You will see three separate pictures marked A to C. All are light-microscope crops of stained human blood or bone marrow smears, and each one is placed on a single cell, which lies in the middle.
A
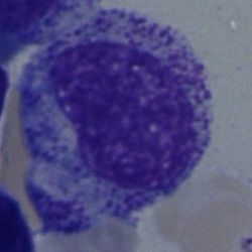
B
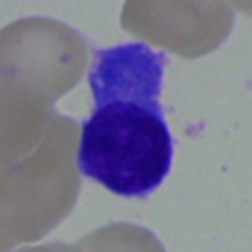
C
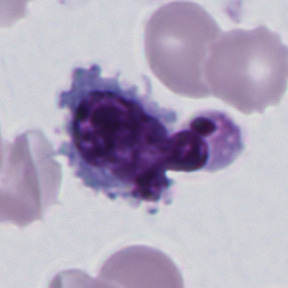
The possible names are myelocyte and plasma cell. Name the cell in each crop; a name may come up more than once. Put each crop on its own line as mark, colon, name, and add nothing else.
A: myelocyte
B: plasma cell
C: plasma cell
